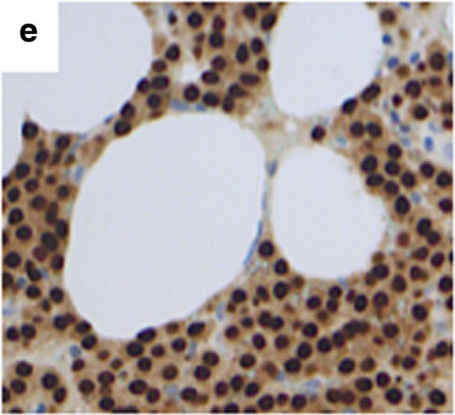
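Nearly every cell carries a dark brown nucleus, round and fairly uniform in size, set in a paler brown cytoplasm. Only a few scattered cells between them keep blue, unstained nuclei. The cells lie back to back in sheets and cords that wrap around the fat vacuoles.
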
